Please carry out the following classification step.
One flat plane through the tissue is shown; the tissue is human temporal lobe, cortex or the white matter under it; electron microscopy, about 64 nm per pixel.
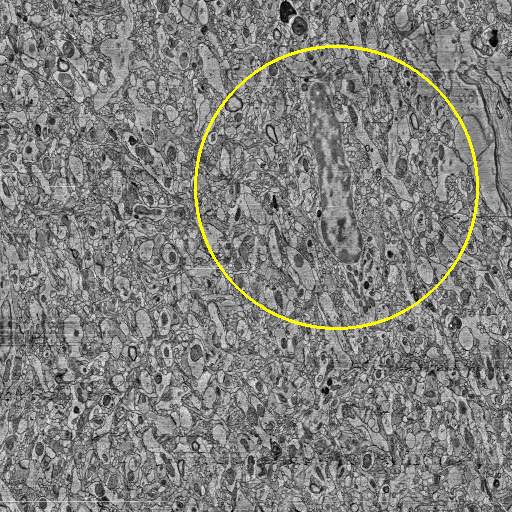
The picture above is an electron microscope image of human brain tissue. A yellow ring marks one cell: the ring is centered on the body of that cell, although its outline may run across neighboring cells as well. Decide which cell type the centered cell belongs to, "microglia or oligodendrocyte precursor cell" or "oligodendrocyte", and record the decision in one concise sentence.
The cell centered in the yellow ring is a microglial cell or oligodendrocyte precursor cell.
